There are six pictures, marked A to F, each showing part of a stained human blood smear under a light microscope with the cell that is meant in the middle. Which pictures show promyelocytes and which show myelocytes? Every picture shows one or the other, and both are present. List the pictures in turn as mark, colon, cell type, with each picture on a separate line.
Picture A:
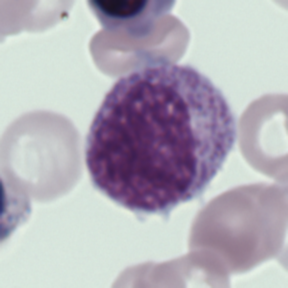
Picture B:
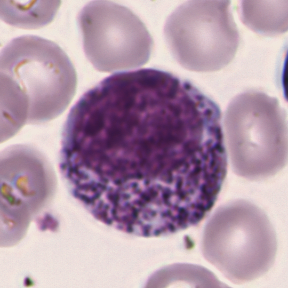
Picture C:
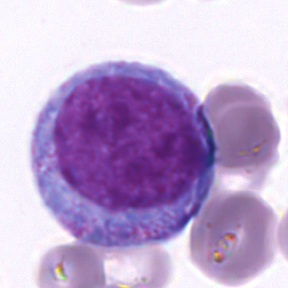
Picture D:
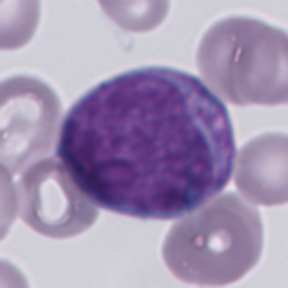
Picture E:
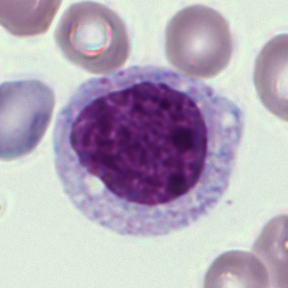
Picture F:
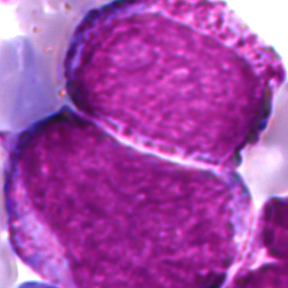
A: myelocyte
B: myelocyte
C: promyelocyte
D: promyelocyte
E: myelocyte
F: promyelocyte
